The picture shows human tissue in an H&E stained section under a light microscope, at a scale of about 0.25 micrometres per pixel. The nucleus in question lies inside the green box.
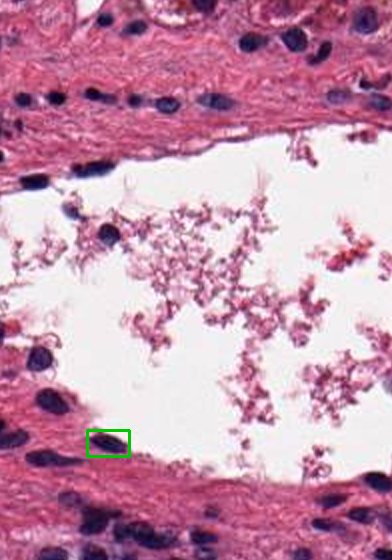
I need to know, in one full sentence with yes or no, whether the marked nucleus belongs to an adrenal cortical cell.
No, the owner of the marked nucleus is a supporting cell, not an adrenal cortical cell.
